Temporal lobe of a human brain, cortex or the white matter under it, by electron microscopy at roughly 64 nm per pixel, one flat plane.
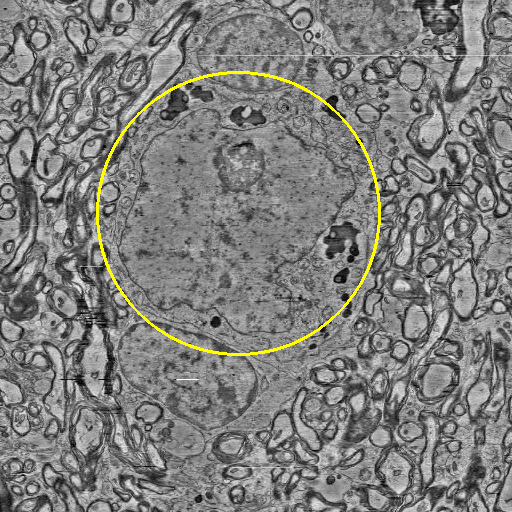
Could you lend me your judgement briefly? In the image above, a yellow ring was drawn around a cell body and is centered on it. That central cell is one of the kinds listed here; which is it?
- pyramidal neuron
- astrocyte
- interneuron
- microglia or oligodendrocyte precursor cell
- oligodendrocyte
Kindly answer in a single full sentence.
Going by the list, a pyramidal neuron is the kind at the ring's center in the picture.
